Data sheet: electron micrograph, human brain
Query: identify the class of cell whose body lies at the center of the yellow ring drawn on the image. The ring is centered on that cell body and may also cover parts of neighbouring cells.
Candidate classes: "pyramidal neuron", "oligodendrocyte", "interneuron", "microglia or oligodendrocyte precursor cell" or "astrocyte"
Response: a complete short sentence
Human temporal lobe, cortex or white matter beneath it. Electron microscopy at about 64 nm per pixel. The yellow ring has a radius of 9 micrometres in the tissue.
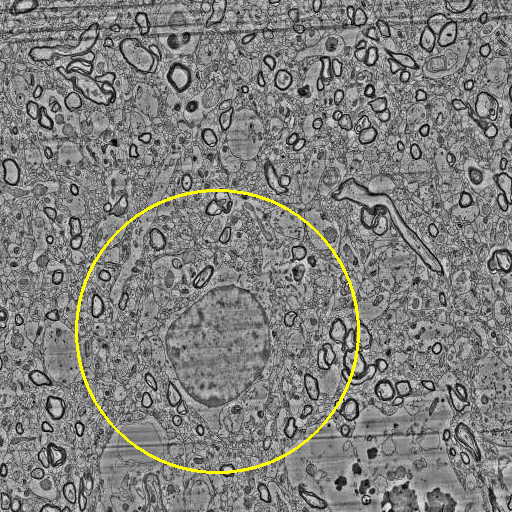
At the center of the ring lies a microglial cell or oligodendrocyte precursor cell.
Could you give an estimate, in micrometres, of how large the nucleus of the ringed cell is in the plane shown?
Roughly 8 micrometres by 6 micrometres, in this plane.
